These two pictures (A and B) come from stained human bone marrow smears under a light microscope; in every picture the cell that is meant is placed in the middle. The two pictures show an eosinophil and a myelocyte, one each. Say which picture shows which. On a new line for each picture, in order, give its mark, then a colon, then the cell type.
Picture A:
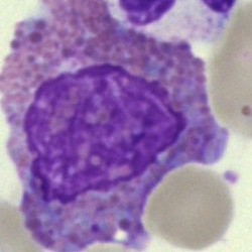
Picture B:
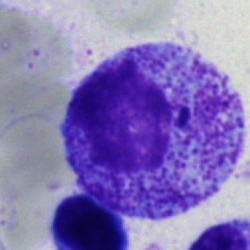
A: eosinophil
B: myelocyte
